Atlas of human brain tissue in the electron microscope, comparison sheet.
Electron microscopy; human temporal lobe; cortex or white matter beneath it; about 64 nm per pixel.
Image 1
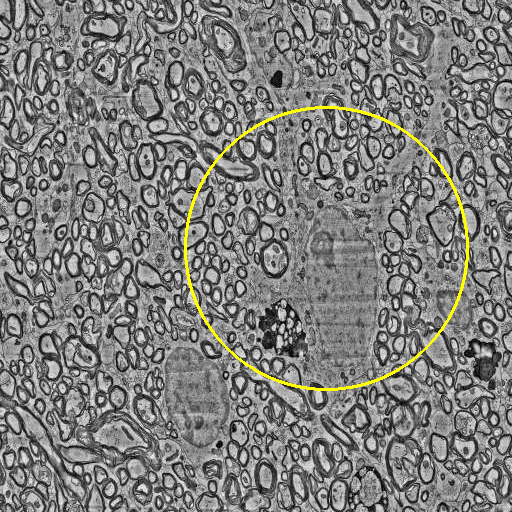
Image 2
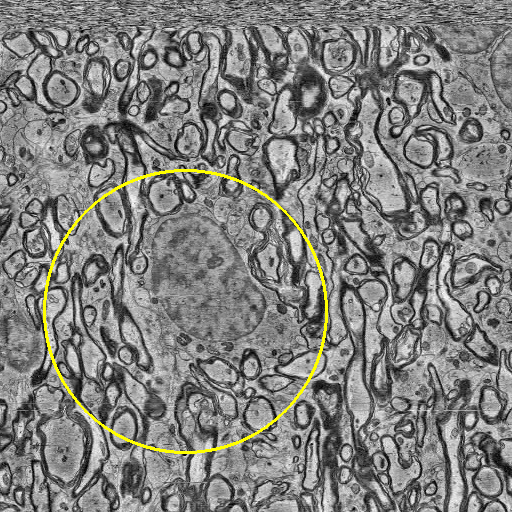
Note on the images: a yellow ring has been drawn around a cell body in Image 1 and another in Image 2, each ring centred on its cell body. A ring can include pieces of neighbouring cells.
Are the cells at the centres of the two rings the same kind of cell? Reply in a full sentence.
No, the two cells are of two kinds.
